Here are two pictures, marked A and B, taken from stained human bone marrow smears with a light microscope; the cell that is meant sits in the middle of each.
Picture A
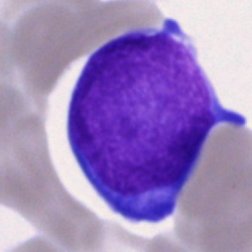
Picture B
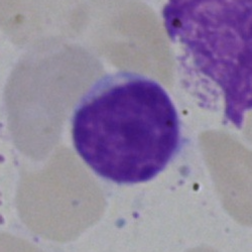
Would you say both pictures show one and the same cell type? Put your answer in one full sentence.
No; the cell in picture A is a blast, while the one in picture B is a lymphocyte.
